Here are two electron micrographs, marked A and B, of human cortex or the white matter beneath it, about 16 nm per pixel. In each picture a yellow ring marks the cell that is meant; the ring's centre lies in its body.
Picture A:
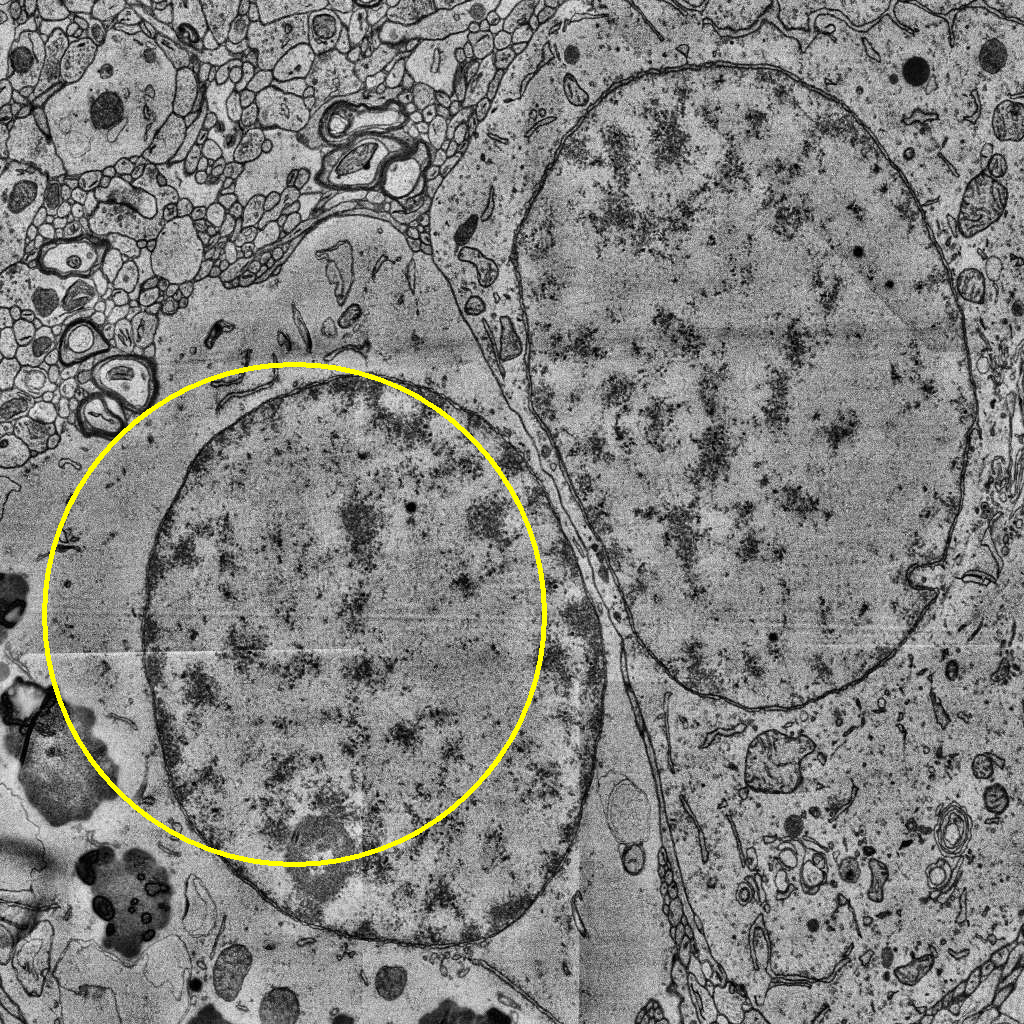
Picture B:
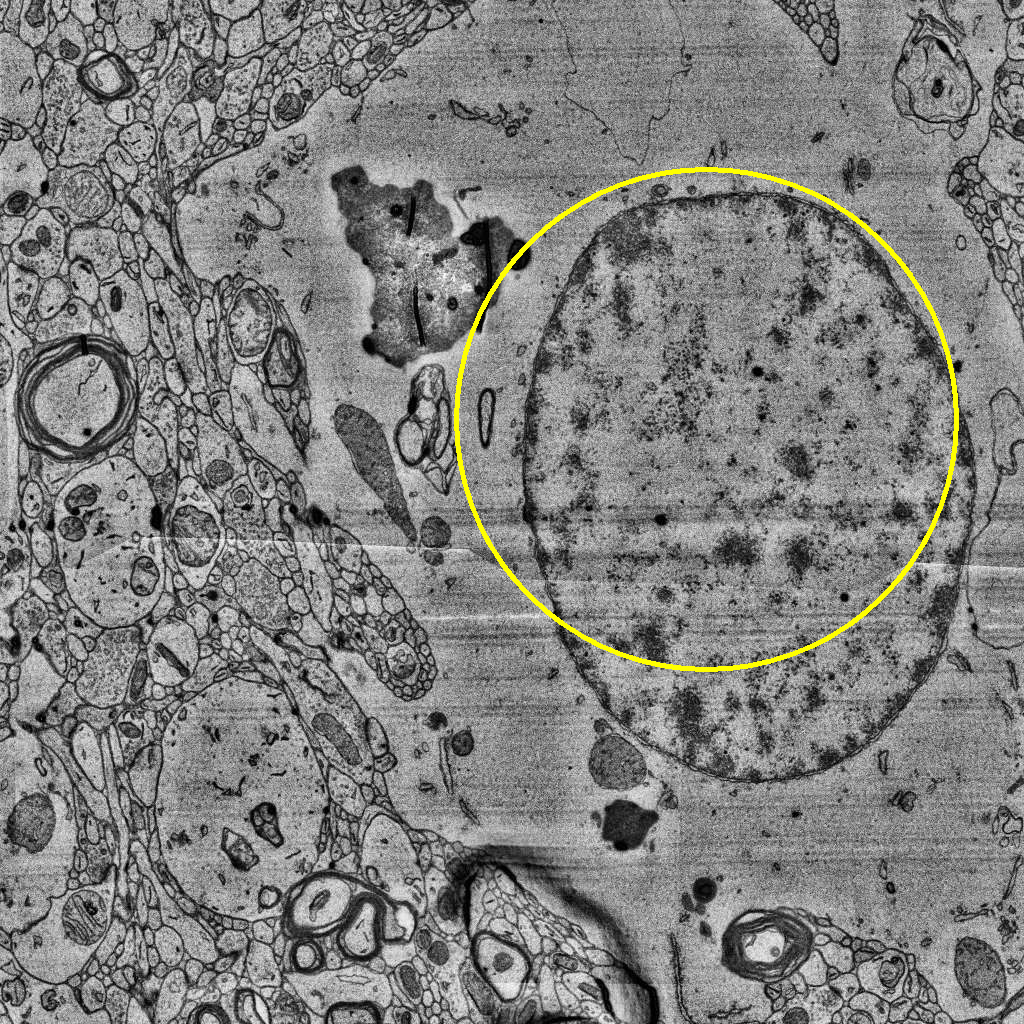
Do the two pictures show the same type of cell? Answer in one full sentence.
Yes, the two pictures both show astrocytes.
